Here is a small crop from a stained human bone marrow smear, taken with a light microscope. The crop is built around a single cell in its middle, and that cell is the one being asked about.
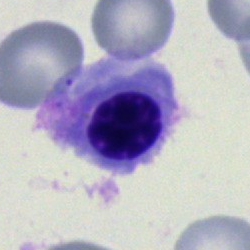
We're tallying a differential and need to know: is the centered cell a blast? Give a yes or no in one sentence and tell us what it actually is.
No, the centred cell is a normoblast instead of a blast.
